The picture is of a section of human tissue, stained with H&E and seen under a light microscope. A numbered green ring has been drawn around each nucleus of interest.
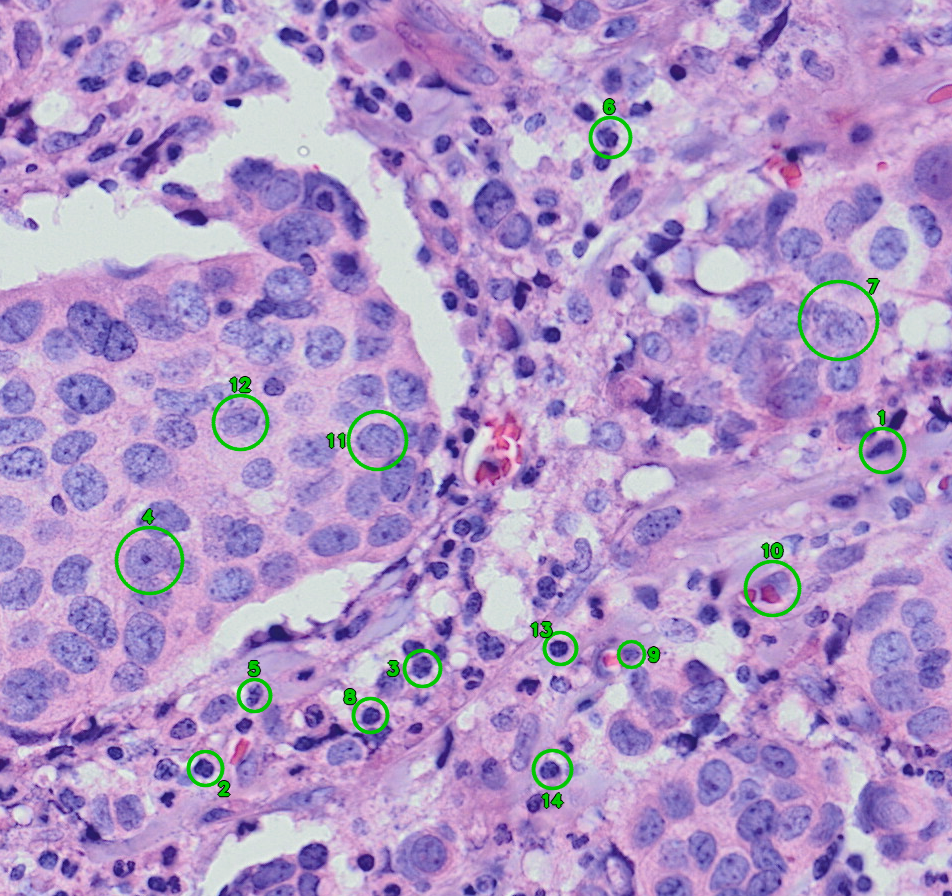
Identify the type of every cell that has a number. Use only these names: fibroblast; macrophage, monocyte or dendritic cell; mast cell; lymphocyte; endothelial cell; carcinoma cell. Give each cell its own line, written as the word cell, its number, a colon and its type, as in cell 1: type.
cell 1: lymphocyte
cell 2: lymphocyte
cell 3: lymphocyte
cell 4: carcinoma cell
cell 5: lymphocyte
cell 6: lymphocyte
cell 7: carcinoma cell
cell 8: lymphocyte
cell 9: endothelial cell
cell 10: endothelial cell
cell 11: carcinoma cell
cell 12: carcinoma cell
cell 13: lymphocyte
cell 14: lymphocyte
